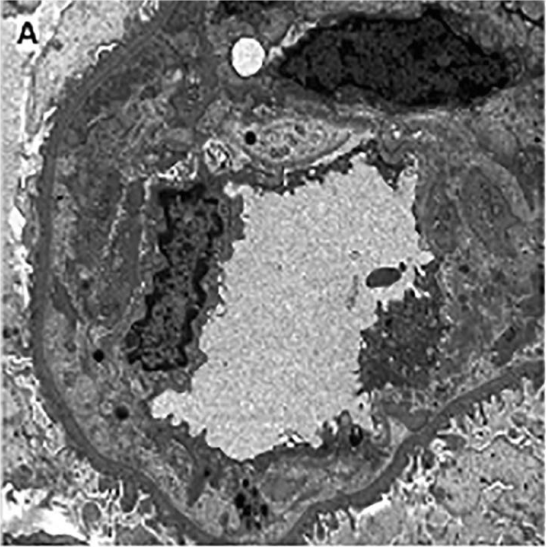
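A glomerular capillary loop is cut in cross-section, with a wide pale lumen holding a few small dark bodies. An elongated, dark, irregular endothelial nucleus lines one side of the lumen, and a clumped dark cell mass sits on the opposite side. The wall around the lumen is thick and layered: cytoplasm and cell processes lie between the thin lining of the lumen and a dark outer membrane line. The doubled, layered wall fits a double contour with interposed cell processes.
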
